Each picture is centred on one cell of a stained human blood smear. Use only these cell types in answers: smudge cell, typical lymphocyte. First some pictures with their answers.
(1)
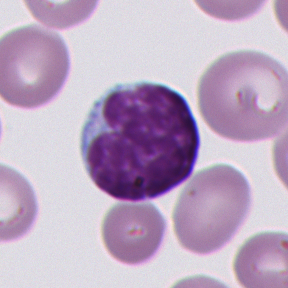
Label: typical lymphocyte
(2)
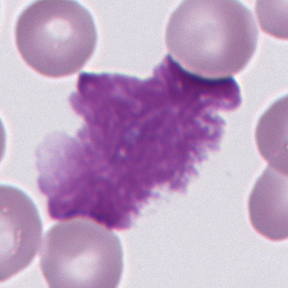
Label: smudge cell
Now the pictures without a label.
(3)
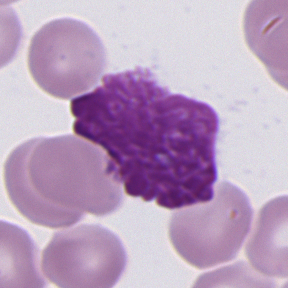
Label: smudge cell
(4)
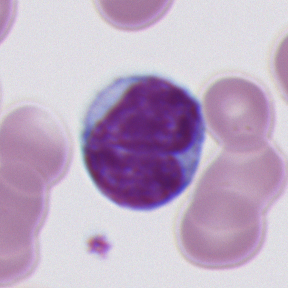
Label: typical lymphocyte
